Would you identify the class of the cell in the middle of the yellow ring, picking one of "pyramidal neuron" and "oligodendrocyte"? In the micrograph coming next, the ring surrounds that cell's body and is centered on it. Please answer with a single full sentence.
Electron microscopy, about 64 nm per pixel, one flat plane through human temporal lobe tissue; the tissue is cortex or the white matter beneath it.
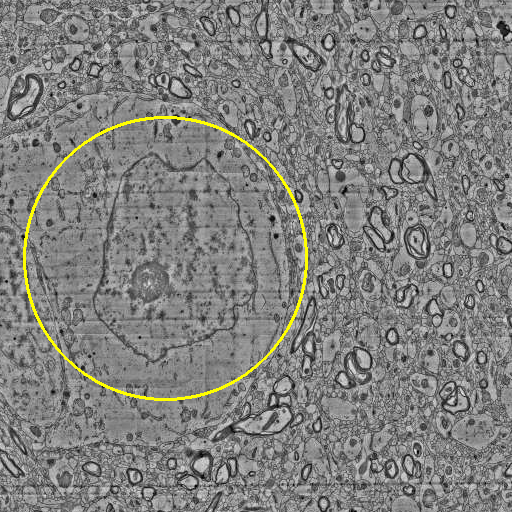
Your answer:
In the micrograph, it is a pyramidal neuron whose body lies at the ring's center.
